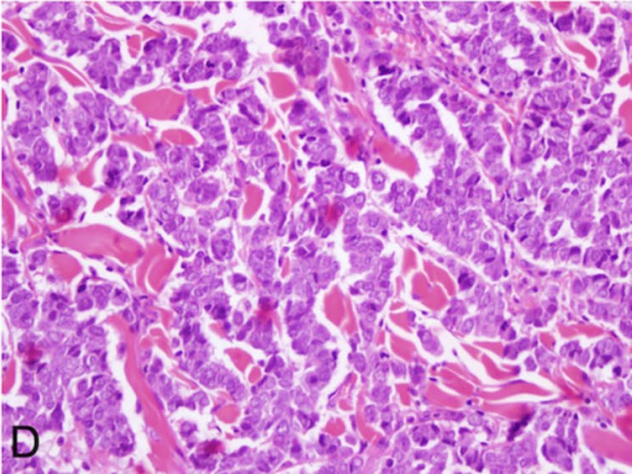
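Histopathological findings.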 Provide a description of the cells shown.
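Tumor cells are arranged in irregular cords and trabeculae that branch and join one another. Bright pink collagen bundles lie between the cords. The nuclei are round to oval, with pale, open chromatin, and they are crowded together within the cords.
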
